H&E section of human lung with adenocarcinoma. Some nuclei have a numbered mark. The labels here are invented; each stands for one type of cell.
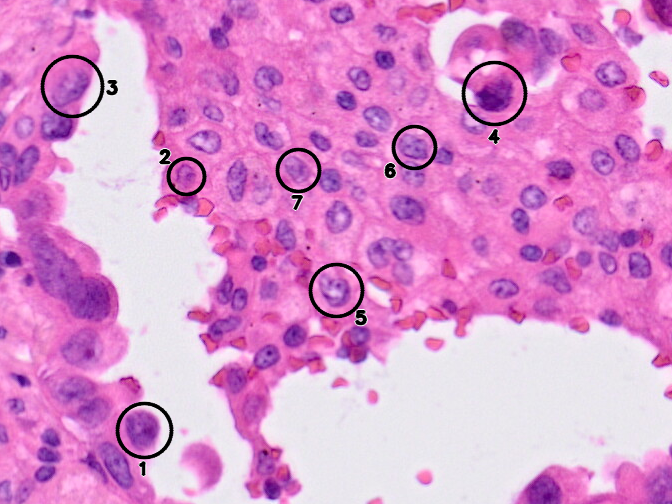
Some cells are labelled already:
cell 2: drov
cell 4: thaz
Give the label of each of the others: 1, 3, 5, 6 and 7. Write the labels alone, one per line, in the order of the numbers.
thaz
thaz
drov
drov
drov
